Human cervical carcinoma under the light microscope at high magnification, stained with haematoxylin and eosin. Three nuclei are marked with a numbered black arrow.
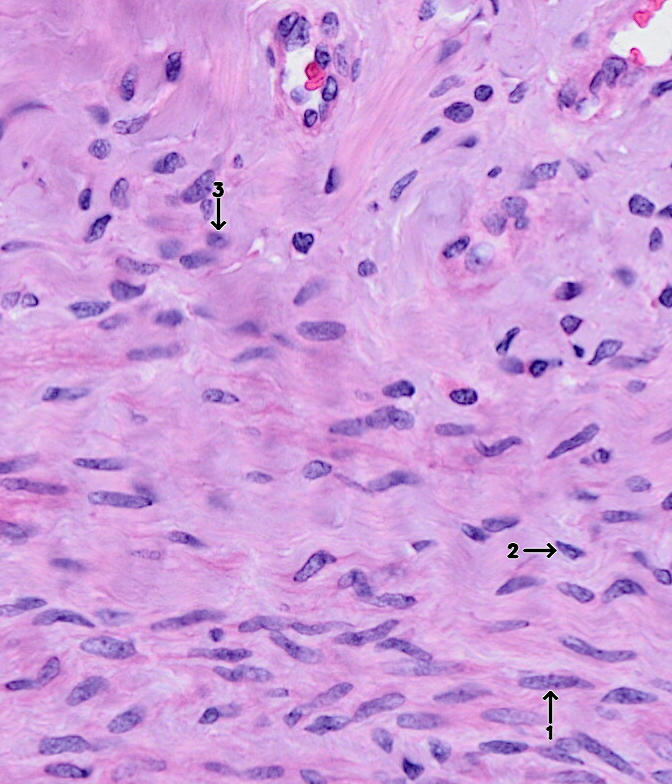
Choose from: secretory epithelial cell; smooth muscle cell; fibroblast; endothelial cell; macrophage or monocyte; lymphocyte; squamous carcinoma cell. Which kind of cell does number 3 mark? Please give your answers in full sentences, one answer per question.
The cell with the number 3 is a fibroblast.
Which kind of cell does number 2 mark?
The cell that goes by number 2 is a fibroblast.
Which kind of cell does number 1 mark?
The cell pointed out as number 1 is a smooth muscle cell.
